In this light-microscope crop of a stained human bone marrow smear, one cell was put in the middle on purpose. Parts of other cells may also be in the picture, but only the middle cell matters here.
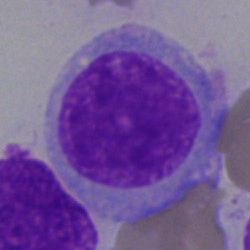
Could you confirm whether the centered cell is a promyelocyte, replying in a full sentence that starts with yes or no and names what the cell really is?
No, the cell in the middle is recognised as a blast rather than a promyelocyte.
